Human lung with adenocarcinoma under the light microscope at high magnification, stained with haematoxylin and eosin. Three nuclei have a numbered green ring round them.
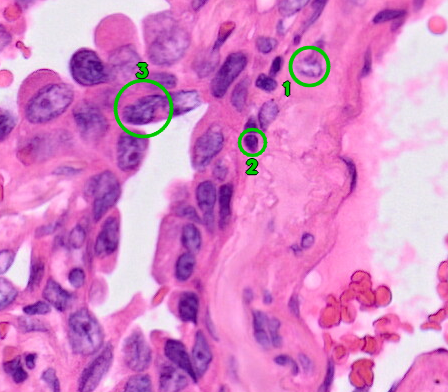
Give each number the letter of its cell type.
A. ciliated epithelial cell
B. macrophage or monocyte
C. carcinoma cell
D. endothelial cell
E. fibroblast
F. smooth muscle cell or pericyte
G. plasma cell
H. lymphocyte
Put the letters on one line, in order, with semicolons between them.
E; H; C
